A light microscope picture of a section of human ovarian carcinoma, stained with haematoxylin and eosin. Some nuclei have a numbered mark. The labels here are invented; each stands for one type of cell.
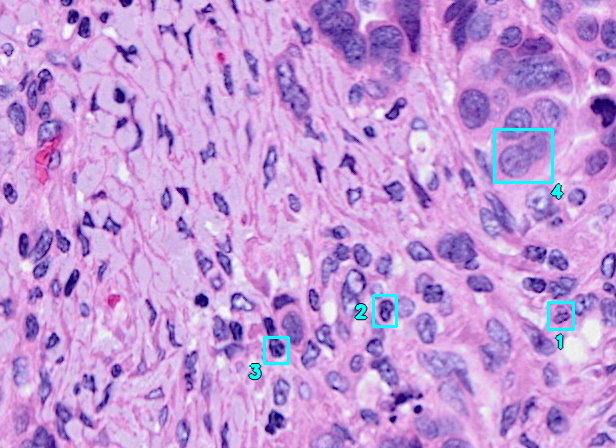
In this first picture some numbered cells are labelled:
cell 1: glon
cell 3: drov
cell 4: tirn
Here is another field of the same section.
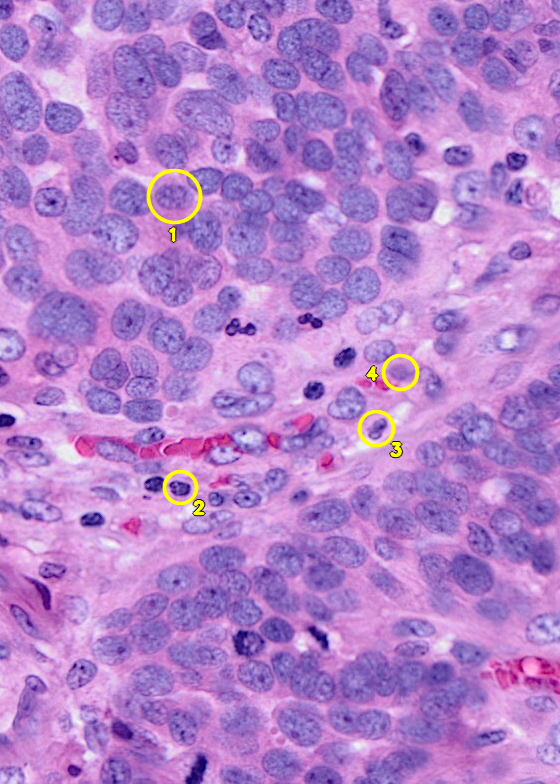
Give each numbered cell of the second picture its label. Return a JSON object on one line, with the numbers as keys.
{"1": "tirn", "2": "drov", "3": "drov", "4": "glon"}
